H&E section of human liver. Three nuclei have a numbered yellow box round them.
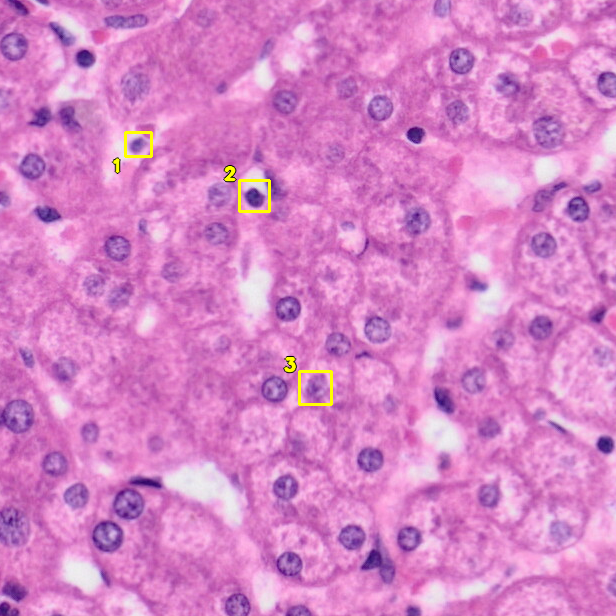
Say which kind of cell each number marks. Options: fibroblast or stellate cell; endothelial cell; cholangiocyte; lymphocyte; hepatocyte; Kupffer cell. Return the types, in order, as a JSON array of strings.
["lymphocyte", "lymphocyte", "hepatocyte"]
